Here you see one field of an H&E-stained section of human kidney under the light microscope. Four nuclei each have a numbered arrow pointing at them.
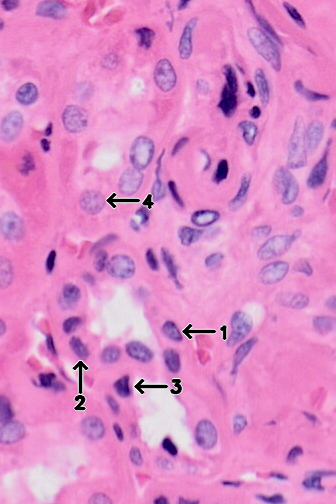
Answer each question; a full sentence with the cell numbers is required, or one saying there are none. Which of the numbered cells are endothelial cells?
Of all the numbered cells, not one is counted among the endothelial cells.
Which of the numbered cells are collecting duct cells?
The cells whose numbers are 1, 2 and 3 are collecting duct cells.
